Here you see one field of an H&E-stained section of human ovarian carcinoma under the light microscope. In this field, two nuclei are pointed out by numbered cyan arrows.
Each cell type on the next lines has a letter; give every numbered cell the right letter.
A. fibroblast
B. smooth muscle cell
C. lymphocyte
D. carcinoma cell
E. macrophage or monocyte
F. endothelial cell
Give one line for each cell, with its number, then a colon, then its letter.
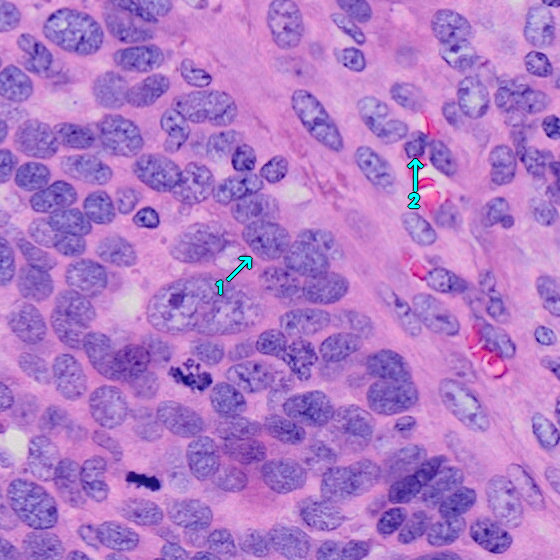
1: D
2: F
